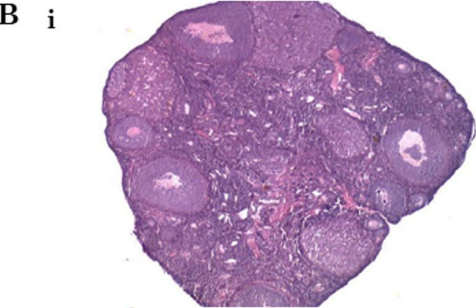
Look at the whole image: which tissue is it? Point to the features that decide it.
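A compact oval organ section bounded by a thin surface layer. Round follicles of several sizes, some with a central fluid-filled cavity, lie in the cortex. That points to this answer: ovaries.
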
